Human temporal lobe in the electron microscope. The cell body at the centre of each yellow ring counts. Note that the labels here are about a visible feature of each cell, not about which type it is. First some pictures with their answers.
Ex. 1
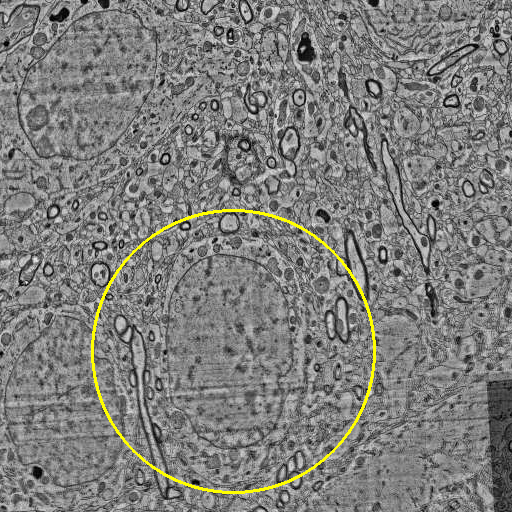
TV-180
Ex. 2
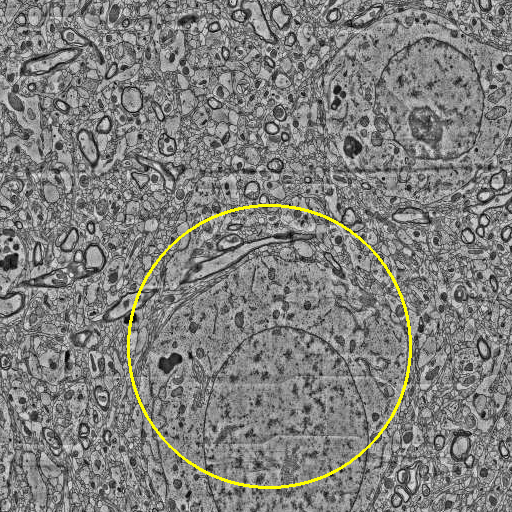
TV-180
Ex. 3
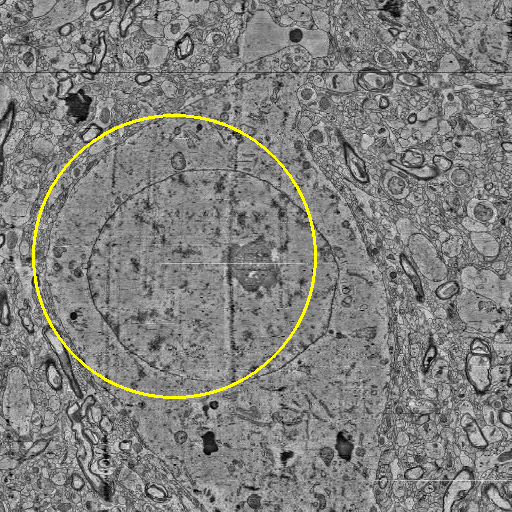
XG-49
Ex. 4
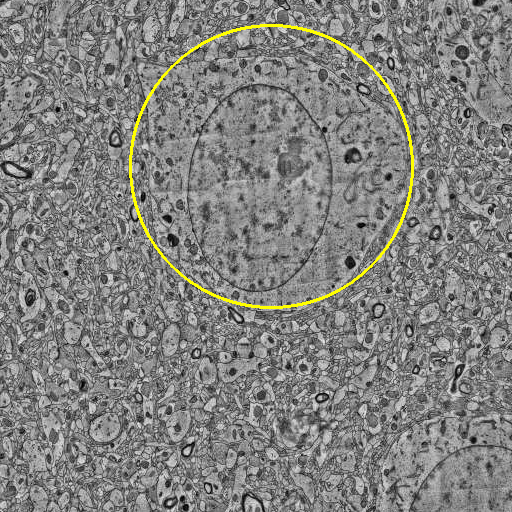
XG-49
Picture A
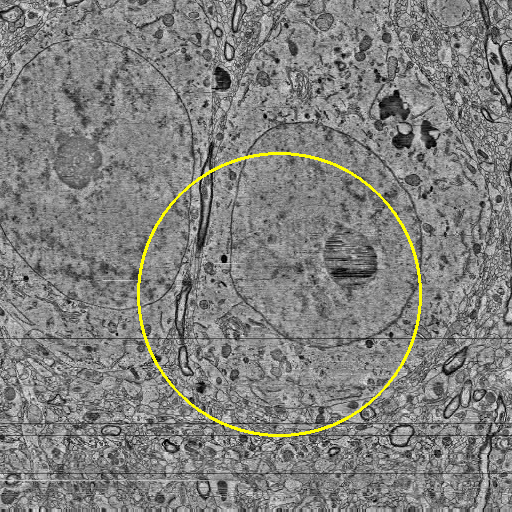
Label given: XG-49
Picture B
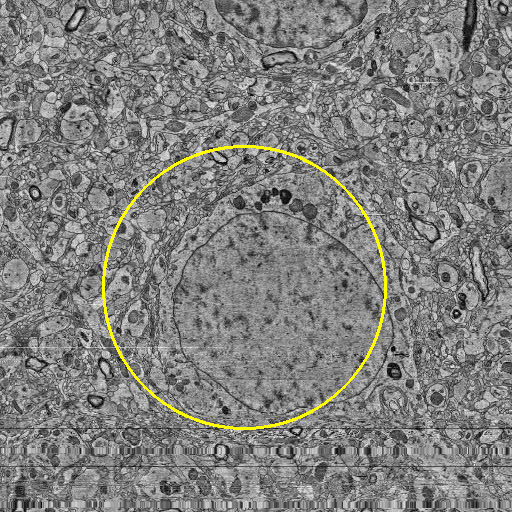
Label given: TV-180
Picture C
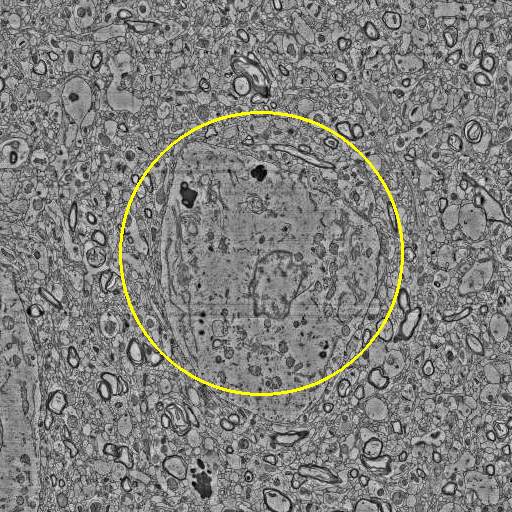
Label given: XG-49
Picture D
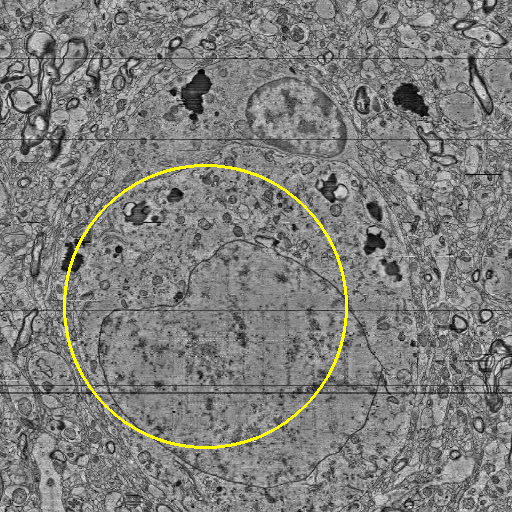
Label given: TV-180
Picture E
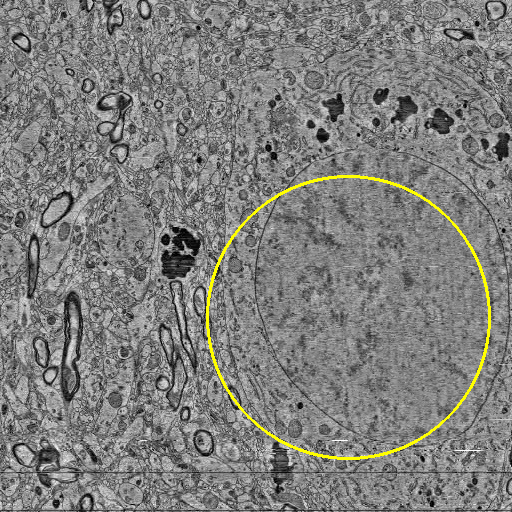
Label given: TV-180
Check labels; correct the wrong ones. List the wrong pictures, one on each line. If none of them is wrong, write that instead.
C should be TV-180, not XG-49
